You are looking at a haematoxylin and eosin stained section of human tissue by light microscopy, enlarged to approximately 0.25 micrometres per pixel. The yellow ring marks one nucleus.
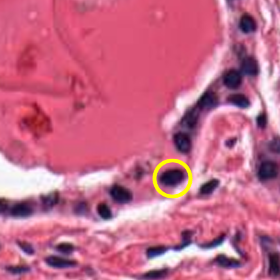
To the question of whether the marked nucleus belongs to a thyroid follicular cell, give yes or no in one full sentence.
Yes, the marked nucleus is located in a thyroid follicular cell.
